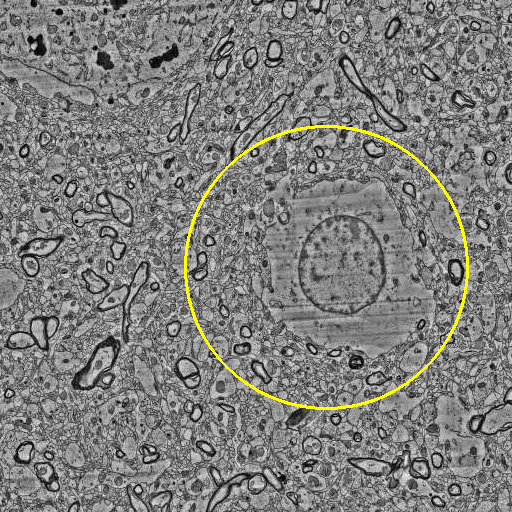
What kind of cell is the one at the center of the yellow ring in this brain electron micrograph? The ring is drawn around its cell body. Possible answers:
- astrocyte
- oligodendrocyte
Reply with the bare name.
astrocyte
